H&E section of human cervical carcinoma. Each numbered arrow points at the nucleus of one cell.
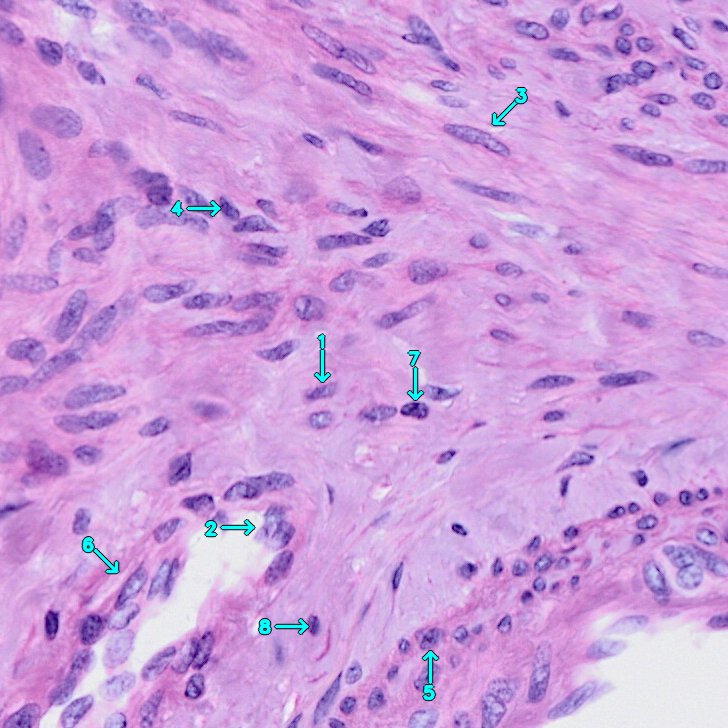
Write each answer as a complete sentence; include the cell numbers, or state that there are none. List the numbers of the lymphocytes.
Only the cell with number 7 is a lymphocyte.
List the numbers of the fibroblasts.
The cells carrying labels 4 and 8 are fibroblasts.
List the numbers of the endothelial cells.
When it comes to cells 2 and 6, they are endothelial cells.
